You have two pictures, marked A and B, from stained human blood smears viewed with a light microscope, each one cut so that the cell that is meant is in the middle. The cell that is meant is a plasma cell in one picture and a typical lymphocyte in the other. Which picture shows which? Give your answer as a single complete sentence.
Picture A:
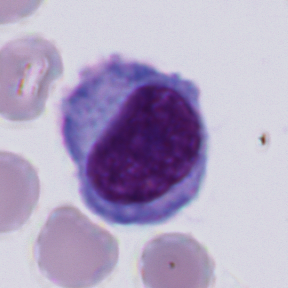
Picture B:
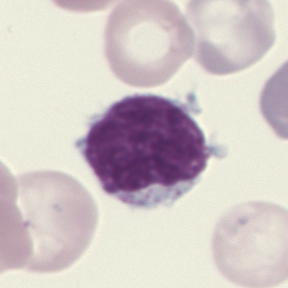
The cell in picture A is a plasma cell, and the one in picture B is a typical lymphocyte.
